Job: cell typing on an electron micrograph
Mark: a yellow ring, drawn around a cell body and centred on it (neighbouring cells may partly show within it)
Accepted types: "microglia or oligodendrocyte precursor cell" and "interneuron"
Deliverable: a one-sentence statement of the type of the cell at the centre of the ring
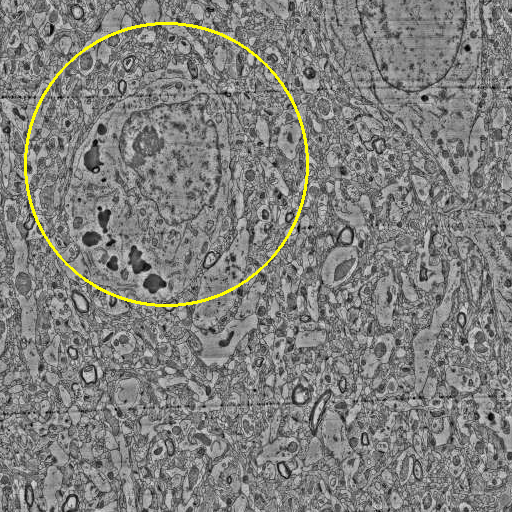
The centred cell body is that of an interneuron.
